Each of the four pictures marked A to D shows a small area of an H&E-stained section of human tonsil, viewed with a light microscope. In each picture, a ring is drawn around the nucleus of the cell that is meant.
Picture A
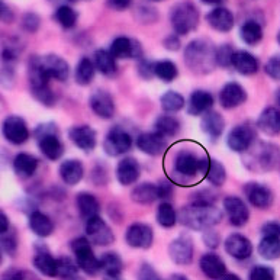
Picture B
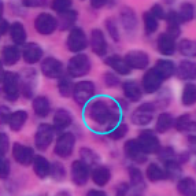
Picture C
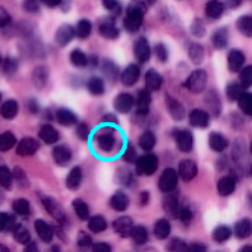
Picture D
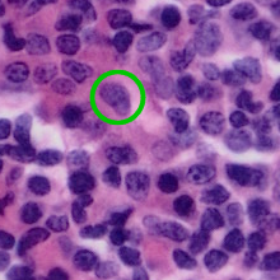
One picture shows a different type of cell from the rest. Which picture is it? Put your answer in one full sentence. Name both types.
The others show small lymphocytes, but picture D shows an endothelial cell.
